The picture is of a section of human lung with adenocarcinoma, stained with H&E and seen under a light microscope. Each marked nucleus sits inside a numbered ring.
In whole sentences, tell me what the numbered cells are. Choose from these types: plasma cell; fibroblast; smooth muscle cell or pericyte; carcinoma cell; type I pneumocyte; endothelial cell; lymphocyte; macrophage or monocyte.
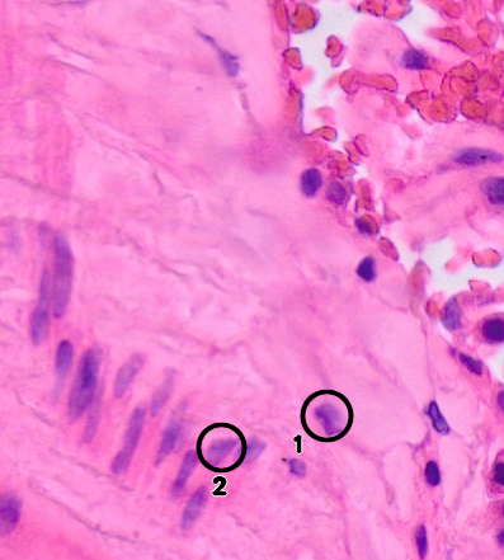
Cell 1 is a fibroblast and cell 2 is a smooth muscle cell or pericyte.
